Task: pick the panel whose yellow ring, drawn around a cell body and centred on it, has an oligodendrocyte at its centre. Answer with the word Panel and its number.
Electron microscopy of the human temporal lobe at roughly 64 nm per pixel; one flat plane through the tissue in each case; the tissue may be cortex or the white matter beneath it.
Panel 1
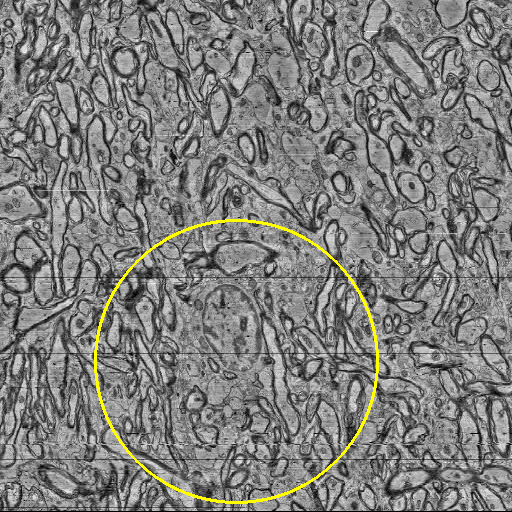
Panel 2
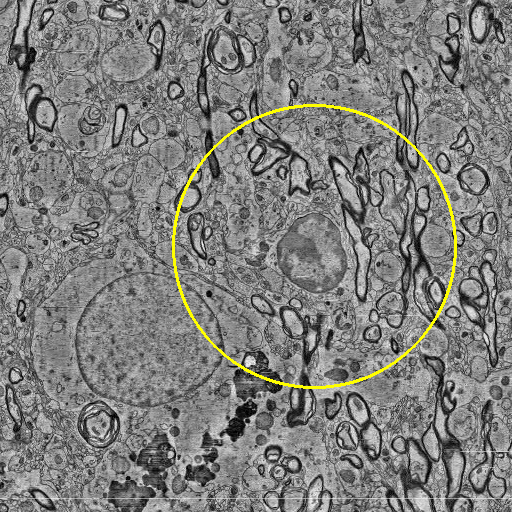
Panel 1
